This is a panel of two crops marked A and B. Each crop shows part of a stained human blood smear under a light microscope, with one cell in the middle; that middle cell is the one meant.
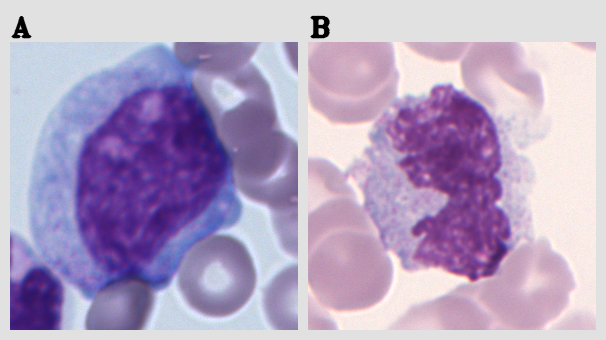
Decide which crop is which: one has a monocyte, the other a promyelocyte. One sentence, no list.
The cell centred in crop A is a promyelocyte, while the one centred in crop B is a monocyte.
